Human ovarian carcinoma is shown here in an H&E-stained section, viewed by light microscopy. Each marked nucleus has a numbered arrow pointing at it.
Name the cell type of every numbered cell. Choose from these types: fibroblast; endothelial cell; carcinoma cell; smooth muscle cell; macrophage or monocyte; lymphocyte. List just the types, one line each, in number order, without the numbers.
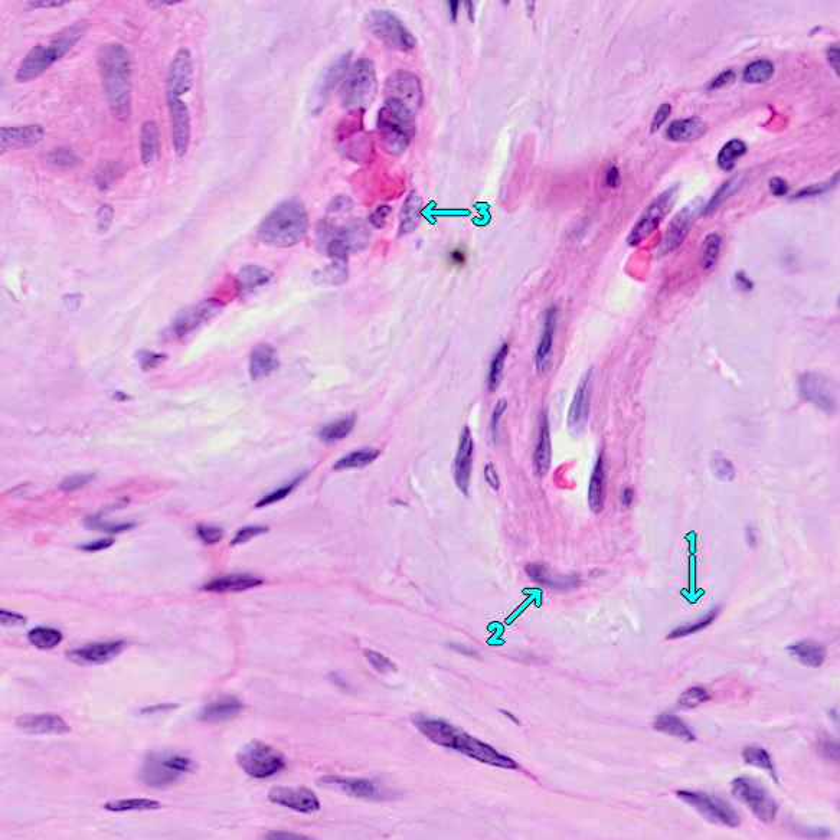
fibroblast
smooth muscle cell
endothelial cell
